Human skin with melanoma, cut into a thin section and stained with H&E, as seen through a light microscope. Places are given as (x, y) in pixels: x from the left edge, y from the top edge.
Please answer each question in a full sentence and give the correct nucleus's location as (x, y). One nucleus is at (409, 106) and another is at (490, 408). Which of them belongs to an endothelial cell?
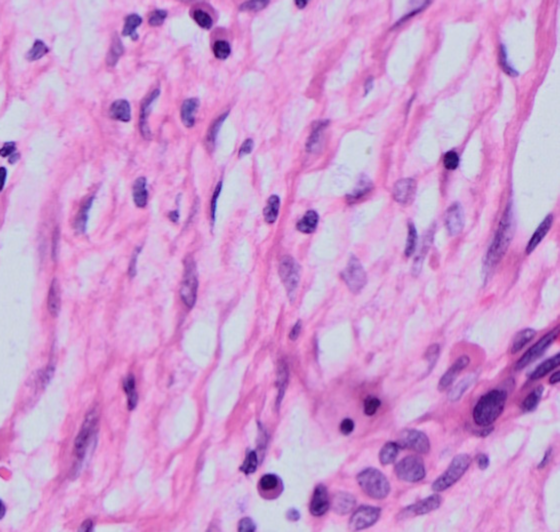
Between the pair, the nucleus at (490, 408) belongs to an endothelial cell.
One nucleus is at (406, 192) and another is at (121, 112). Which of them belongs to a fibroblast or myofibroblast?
That would be the nucleus at (406, 192); it belongs to a fibroblast or myofibroblast.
